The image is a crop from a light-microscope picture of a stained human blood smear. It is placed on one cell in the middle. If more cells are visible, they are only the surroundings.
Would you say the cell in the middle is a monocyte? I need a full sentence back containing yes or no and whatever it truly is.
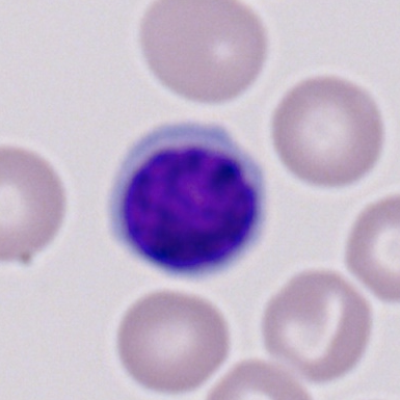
No, the cell in the middle is not a monocyte but a lymphocyte.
